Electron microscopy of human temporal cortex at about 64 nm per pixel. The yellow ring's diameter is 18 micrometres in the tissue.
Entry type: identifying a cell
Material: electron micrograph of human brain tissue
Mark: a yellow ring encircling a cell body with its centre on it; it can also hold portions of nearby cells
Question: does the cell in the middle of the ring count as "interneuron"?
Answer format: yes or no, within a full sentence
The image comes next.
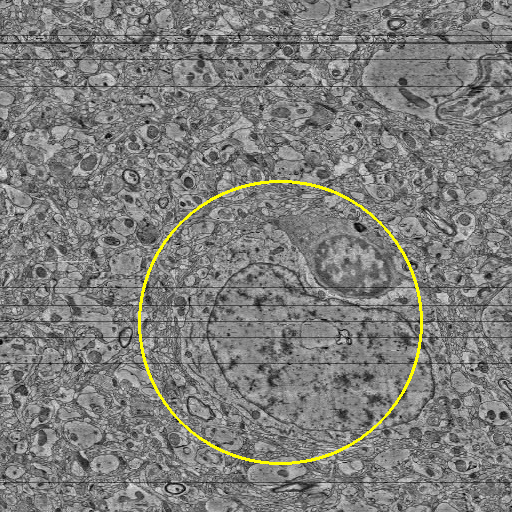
No, in the image, the cell in the middle of the yellow ring counts as a different kind.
